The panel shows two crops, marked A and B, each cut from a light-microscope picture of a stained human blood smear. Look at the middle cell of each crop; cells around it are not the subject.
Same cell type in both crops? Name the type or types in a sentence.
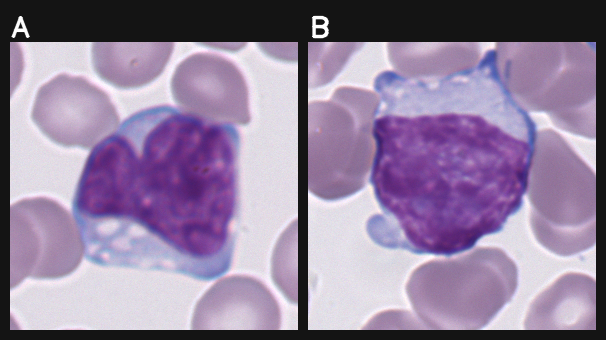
Yes, both crops show myeloblasts, and the two match.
